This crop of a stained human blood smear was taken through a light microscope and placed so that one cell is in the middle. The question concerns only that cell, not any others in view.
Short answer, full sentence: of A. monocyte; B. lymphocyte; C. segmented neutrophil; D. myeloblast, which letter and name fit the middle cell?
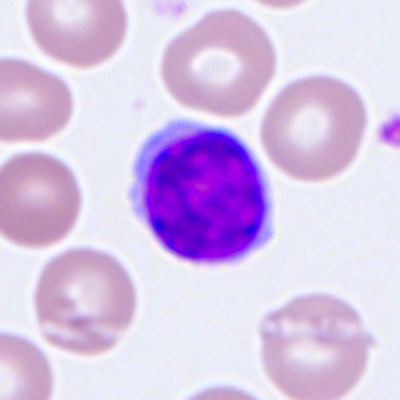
Option B is the correct one; it names the central cell as a lymphocyte.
